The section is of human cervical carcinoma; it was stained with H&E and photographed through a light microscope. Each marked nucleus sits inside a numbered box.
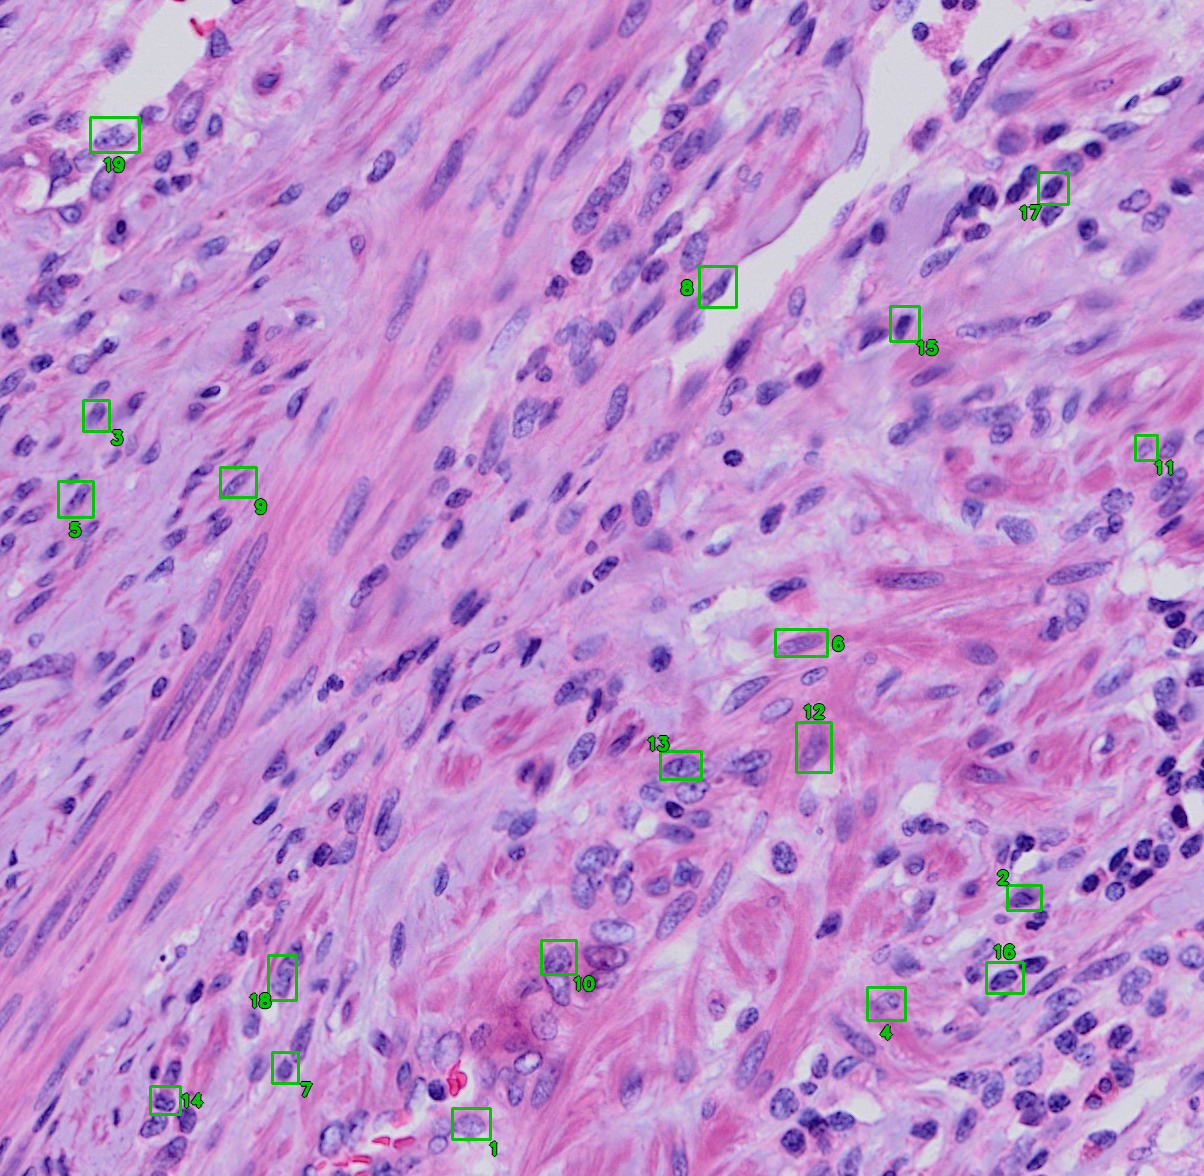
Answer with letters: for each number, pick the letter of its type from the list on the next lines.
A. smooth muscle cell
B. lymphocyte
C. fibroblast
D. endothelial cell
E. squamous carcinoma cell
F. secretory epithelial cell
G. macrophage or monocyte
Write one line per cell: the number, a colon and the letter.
1: D
2: G
3: A
4: A
5: A
6: A
7: B
8: D
9: A
10: D
11: A
12: A
13: D
14: B
15: B
16: B
17: B
18: D
19: D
